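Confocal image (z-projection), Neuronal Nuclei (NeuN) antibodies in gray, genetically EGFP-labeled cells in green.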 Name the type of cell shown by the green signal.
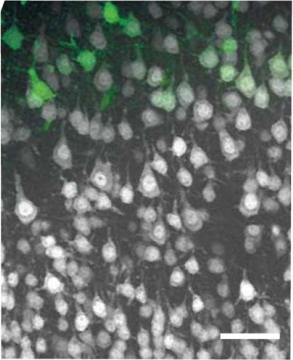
Pyramidal cells.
